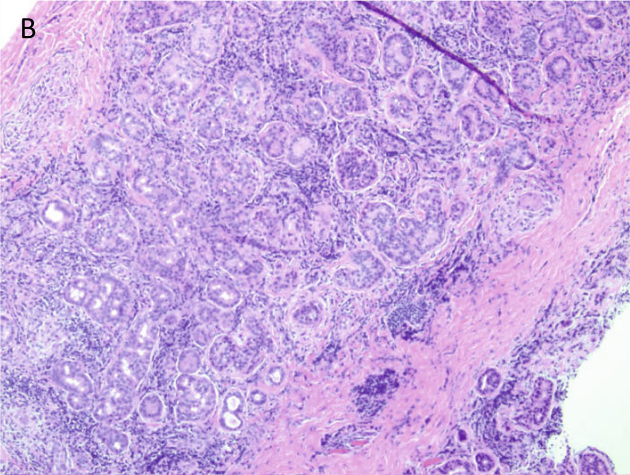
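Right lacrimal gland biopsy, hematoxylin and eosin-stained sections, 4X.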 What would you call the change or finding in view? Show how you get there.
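Lymphocytic and granulomatous inflammatory infiltrate. Dense clusters of small dark round cells lie between glandular acini. Pale areas of loosely arranged pink cells lie among the acini. Bands of pink fibrous tissue separate lobules.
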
